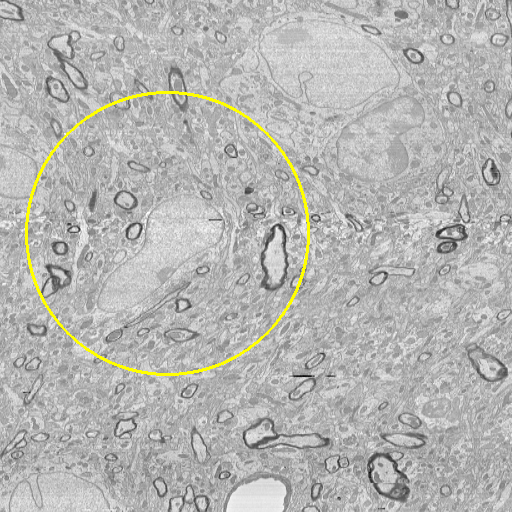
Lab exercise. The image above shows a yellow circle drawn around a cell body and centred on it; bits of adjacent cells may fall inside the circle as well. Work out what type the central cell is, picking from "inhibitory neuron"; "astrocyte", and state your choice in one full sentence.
In the image above, the cell at the centre of the yellow circle is an astrocyte.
